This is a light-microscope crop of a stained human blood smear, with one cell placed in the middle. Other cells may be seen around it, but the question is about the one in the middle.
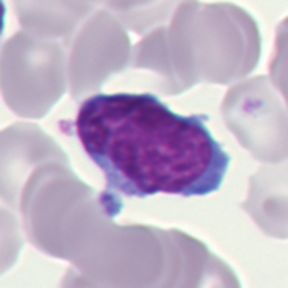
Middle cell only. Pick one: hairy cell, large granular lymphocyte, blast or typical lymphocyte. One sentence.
The cell occupying the middle of the crop is a typical lymphocyte.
